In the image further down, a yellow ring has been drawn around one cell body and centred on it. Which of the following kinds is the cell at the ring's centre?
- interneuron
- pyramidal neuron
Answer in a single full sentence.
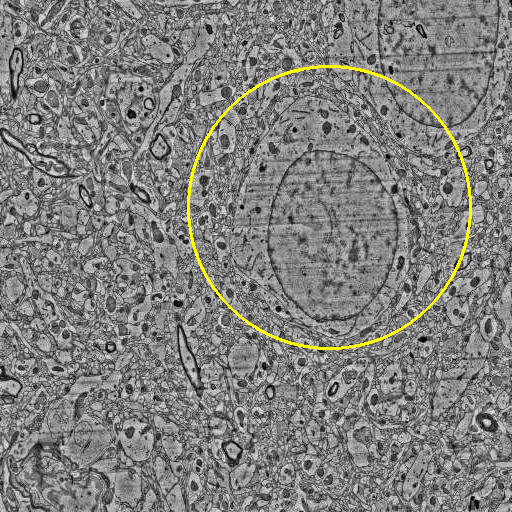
In the picture, the cell sitting at the centre of the yellow ring is a pyramidal neuron.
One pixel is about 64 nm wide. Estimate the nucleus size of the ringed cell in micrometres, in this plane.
About 11 by 8 micrometres in this plane.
